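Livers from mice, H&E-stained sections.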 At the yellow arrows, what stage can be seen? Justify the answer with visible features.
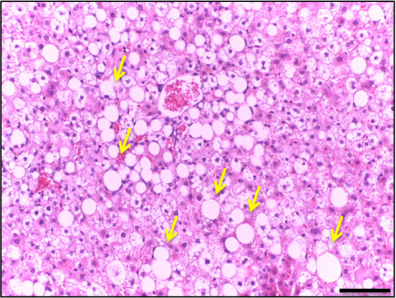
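The arrowed spots are round, clear, unstained vacuoles within the liver parenchyma. Vacuoles vary in size, some much larger than a nucleus.
Hence: cells accumulating high amounts of fat.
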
